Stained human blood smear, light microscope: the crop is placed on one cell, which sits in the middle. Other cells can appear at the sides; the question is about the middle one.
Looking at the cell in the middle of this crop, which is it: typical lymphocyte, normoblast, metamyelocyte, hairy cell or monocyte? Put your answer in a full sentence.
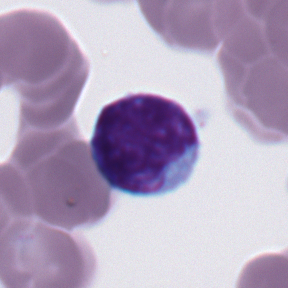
Positioned in the middle of the crop is a typical lymphocyte.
